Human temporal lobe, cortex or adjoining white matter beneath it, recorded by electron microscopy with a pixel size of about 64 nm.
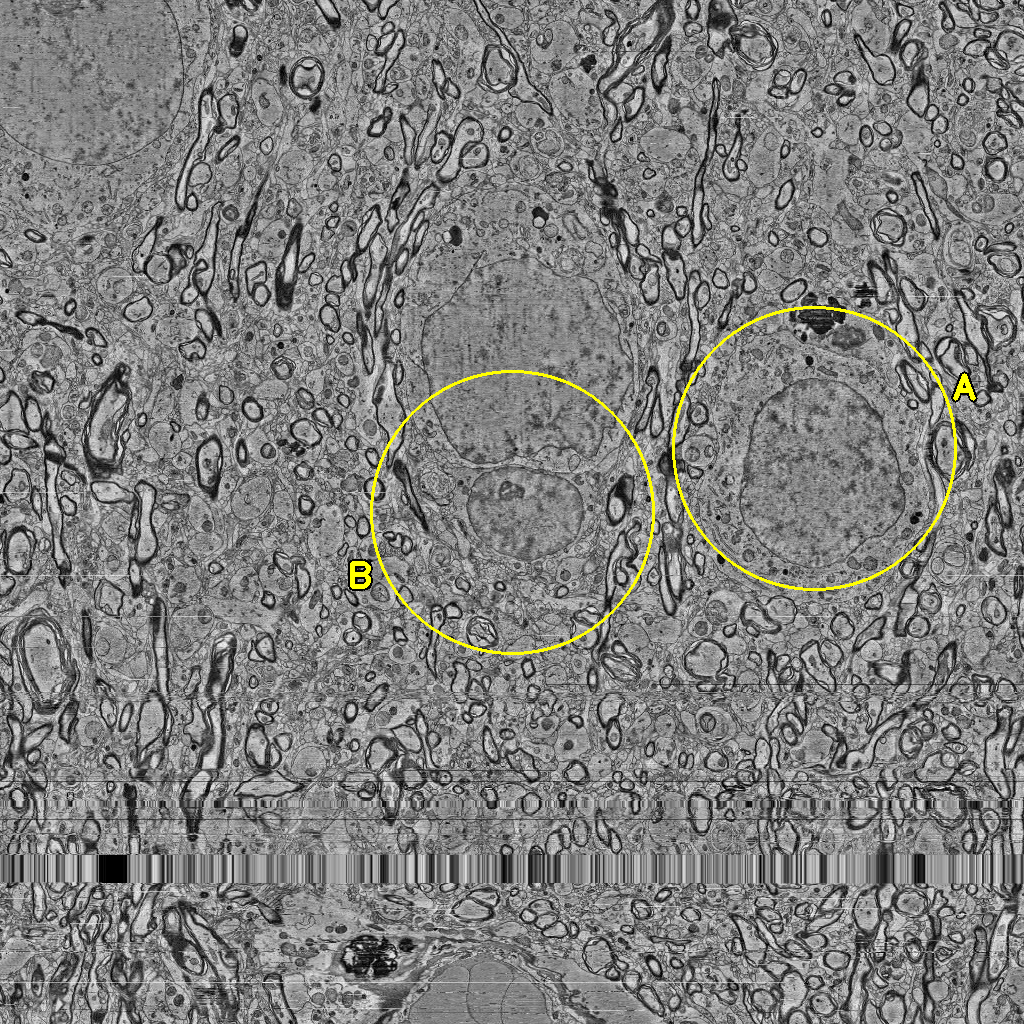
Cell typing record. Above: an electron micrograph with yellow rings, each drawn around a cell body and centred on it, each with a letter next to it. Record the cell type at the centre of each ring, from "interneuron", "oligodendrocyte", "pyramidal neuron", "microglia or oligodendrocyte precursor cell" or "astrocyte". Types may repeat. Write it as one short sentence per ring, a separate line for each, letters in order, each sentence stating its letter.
Ring A circles an interneuron.
Ring B circles an oligodendrocyte.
